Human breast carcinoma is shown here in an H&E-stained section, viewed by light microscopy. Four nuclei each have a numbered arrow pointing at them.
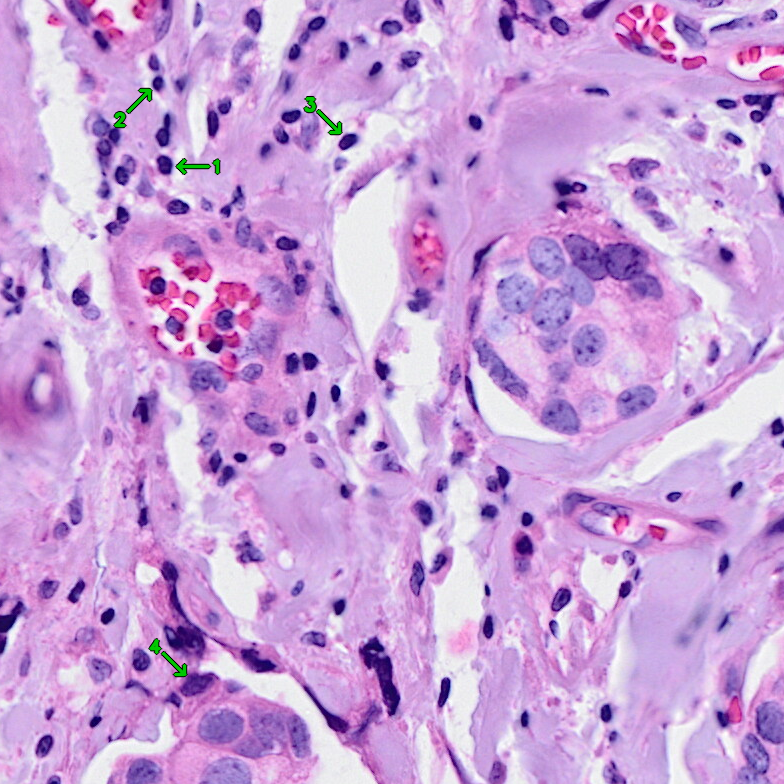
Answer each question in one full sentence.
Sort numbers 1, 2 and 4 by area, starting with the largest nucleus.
The nuclei rank 4, 1, 2, from largest to smallest.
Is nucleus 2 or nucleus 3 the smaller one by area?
The smaller nucleus is 2, and 3 covers roughly 1.5 times its area.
